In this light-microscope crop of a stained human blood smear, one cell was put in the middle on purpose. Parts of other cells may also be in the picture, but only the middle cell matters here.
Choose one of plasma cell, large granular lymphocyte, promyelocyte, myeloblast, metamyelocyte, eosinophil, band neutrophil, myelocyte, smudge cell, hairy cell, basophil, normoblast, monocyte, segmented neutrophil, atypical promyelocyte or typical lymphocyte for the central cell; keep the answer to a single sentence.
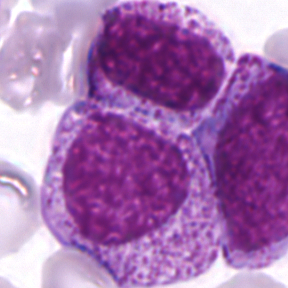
The central cell in this smear crop is a myelocyte.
